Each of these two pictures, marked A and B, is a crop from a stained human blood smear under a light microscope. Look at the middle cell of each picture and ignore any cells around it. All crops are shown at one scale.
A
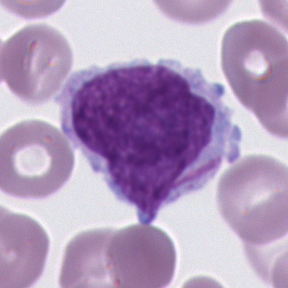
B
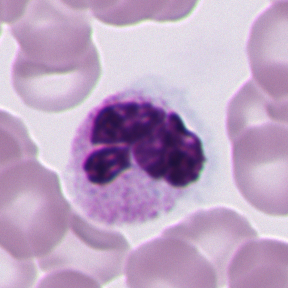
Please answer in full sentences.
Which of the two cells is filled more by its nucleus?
Of the two, the nucleus in picture A makes up the greater part of its cell.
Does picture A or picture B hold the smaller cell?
The cell in picture B is smaller; the one in picture A has about 1.5 times its area.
